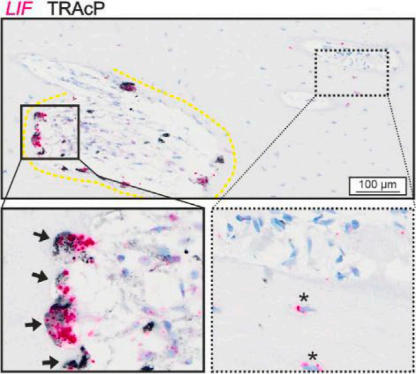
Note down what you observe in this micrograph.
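This is cortical bone with an elongated intracortical canal whose edge carries osteoclasts. Large black-stained cells sit along the canal margin, and red dots cluster on and around these black cells. The rest of the canal holds loose tissue with small pale blue nuclei and little red staining. In the surrounding pale bone matrix, small flattened osteocytes lie singly in lacunae, a few of them marked by red dots. A smaller neighbouring canal holds elongated cells with few red dots.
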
